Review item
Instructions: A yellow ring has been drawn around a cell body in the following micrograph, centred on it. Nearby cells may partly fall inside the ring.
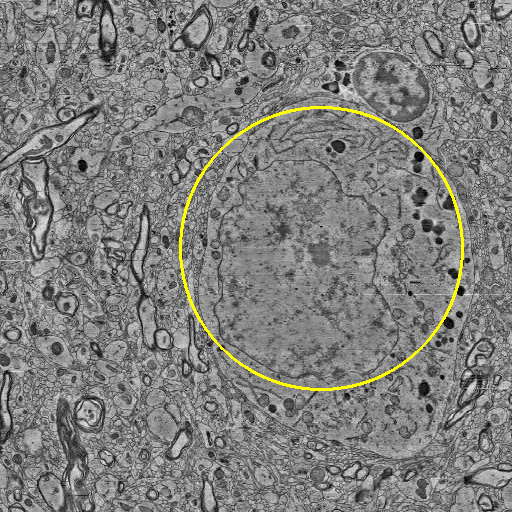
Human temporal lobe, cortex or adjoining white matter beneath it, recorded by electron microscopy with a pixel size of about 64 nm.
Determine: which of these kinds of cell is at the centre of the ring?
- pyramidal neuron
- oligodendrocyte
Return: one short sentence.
The cell body in the middle of the ring is that of a pyramidal neuron.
